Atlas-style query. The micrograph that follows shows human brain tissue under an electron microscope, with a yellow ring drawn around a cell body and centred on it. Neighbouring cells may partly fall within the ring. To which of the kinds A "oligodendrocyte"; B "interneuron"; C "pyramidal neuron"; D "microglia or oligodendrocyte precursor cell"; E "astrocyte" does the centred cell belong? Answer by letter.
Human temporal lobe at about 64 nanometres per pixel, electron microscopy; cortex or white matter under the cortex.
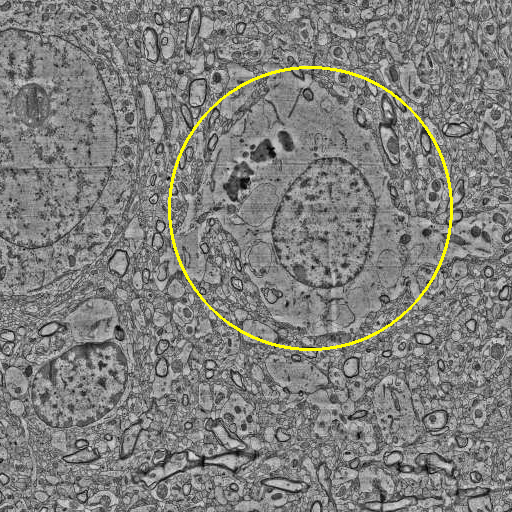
E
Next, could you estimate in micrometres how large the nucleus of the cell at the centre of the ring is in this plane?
In this plane, the nucleus of the cell at the centre of the ring measures about 8 by 6 micrometres.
